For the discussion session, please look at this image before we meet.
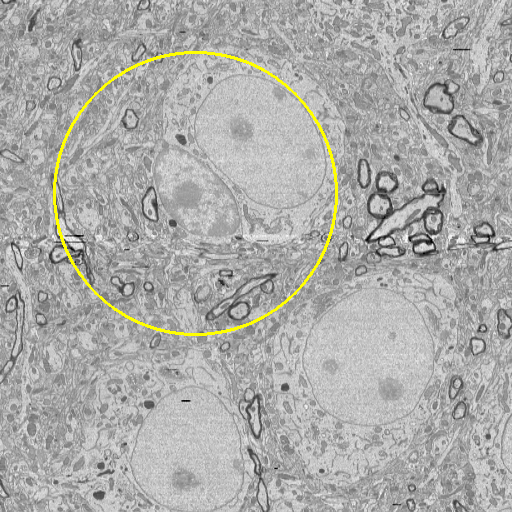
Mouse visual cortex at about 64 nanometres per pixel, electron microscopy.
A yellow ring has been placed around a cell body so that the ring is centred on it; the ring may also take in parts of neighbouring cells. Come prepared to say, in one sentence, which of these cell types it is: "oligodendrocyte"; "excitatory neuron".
The cell centred in the ring is an oligodendrocyte.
